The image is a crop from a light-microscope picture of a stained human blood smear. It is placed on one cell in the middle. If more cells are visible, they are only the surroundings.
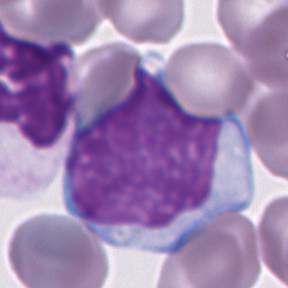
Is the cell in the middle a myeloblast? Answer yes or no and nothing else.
yes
